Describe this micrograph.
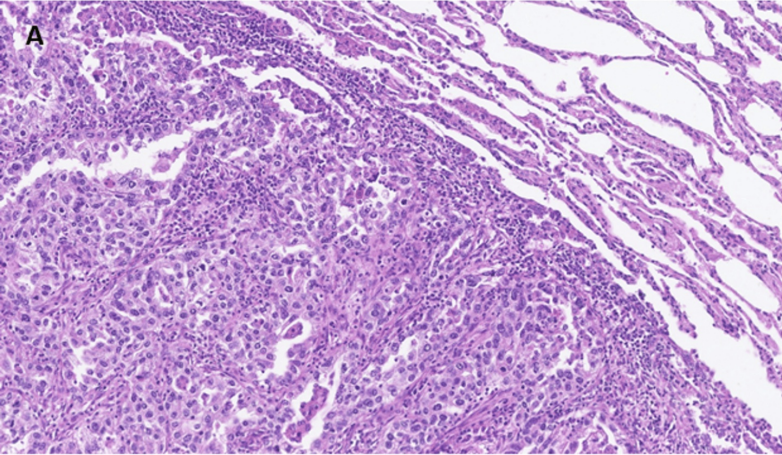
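Lung tissue with a carcinoma composed of atypical epithelial cells occupying the lower left and centre, next to thin-walled alveolar air spaces at the upper right. The tumor cells are large, cuboidal to polygonal, with abundant pink cytoplasm, some of it clear, and enlarged oval nuclei, many with visible nucleoli. They are crowded in solid sheets and nests, with a few slit-like spaces. A band of small dark lymphocytes and fibrous stroma lies at the border between the tumor and the compressed alveolar walls, and lymphocytes are scattered between the tumor nests.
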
